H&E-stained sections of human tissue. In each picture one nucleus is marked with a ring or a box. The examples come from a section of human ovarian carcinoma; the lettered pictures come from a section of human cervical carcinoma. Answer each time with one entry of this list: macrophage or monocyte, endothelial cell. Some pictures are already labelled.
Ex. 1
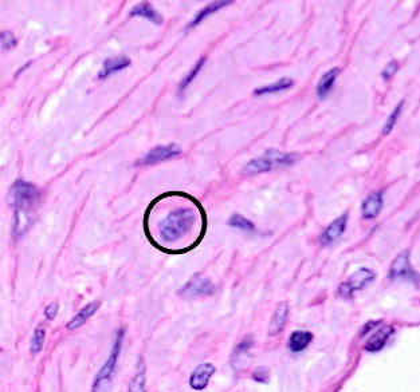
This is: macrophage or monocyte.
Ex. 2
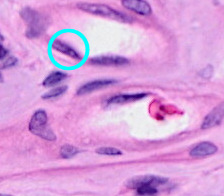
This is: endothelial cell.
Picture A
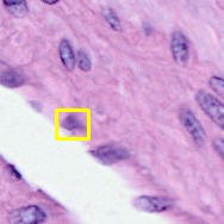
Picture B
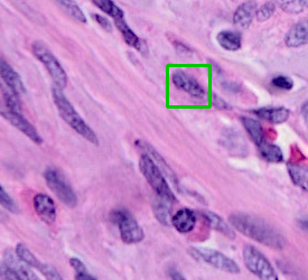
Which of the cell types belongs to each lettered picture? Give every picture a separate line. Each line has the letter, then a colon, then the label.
A: endothelial cell.
B: endothelial cell.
